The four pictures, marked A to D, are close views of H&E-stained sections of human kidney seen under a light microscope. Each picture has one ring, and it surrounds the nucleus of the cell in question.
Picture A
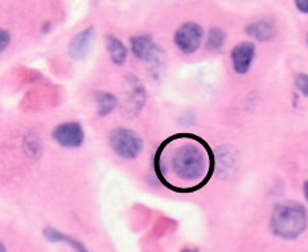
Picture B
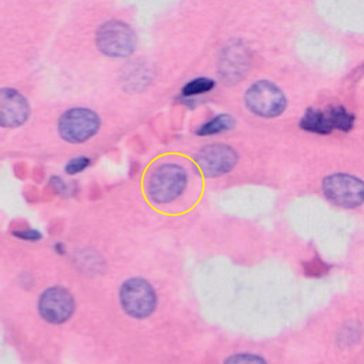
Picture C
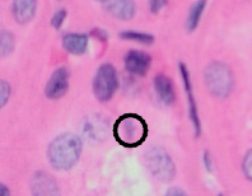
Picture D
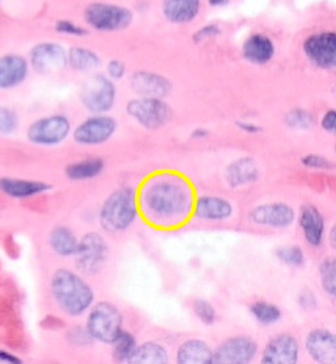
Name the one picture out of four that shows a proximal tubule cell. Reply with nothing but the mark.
B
